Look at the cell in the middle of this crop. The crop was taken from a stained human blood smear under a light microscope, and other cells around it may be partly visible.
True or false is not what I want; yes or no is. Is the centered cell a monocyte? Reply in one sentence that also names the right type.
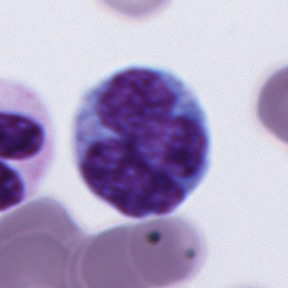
Yes, the middle cell in this crop is a monocyte.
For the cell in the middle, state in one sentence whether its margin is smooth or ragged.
Thanks for asking; the cell edge is smooth and has no projections.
